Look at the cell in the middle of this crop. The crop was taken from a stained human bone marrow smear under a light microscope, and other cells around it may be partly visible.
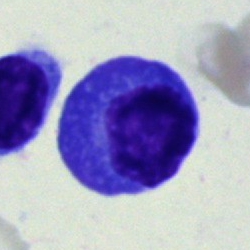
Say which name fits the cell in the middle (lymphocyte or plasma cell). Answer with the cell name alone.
plasma cell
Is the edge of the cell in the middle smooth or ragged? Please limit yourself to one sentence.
No projections interrupt the outline; it is smooth all the way round.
